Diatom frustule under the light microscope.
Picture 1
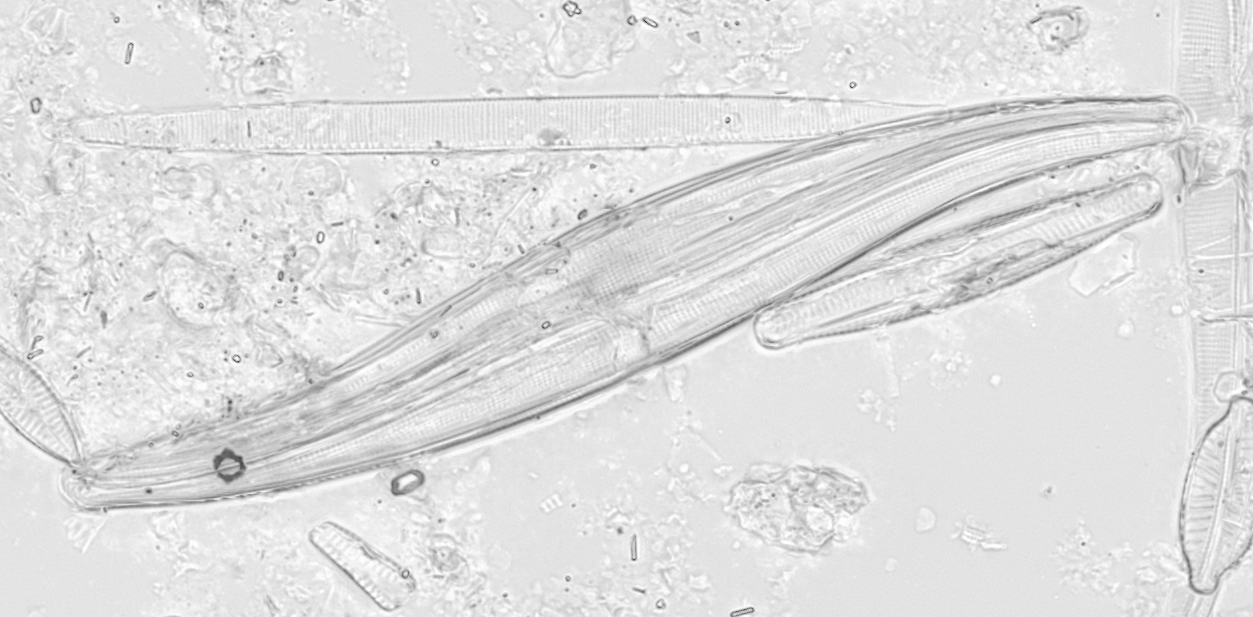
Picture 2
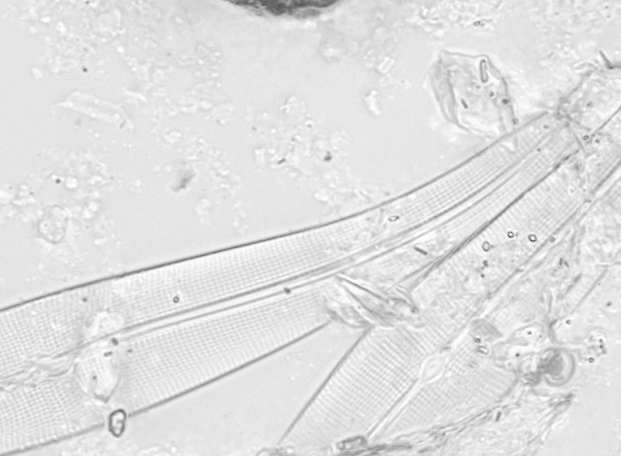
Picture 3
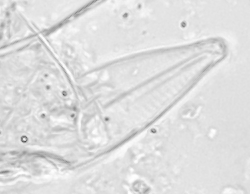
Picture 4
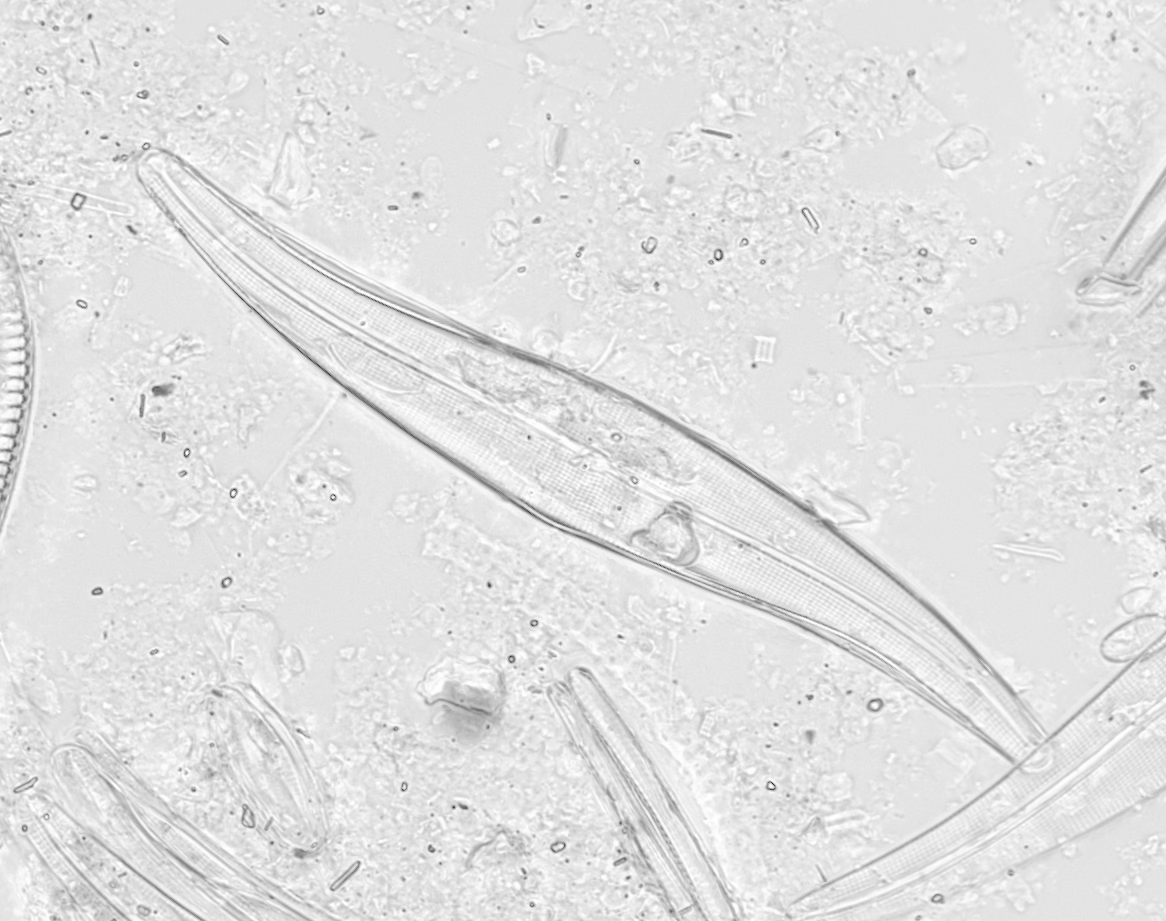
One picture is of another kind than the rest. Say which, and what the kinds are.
Picture 3 shows Navicula; the rest show Gyrosigma.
